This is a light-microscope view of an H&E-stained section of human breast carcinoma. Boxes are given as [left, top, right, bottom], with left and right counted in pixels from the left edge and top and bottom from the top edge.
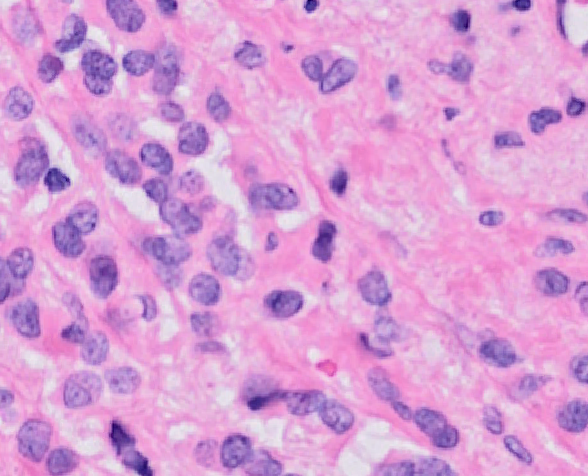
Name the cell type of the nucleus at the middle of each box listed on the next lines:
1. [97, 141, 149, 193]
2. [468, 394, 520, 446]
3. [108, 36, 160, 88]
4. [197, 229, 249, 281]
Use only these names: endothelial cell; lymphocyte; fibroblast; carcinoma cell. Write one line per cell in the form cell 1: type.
cell 1: carcinoma cell
cell 2: endothelial cell
cell 3: carcinoma cell
cell 4: carcinoma cell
